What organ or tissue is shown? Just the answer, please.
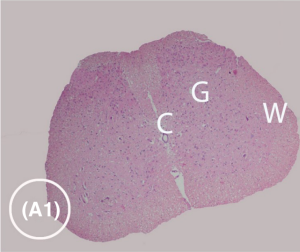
spinal cord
